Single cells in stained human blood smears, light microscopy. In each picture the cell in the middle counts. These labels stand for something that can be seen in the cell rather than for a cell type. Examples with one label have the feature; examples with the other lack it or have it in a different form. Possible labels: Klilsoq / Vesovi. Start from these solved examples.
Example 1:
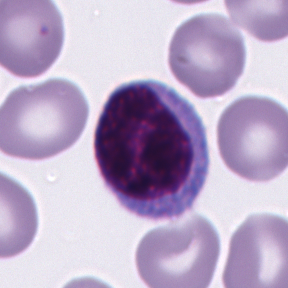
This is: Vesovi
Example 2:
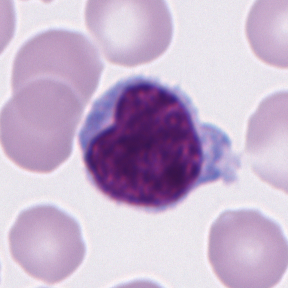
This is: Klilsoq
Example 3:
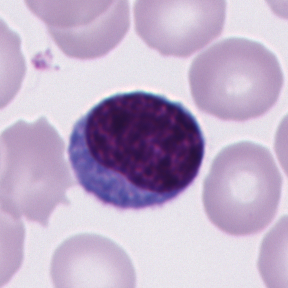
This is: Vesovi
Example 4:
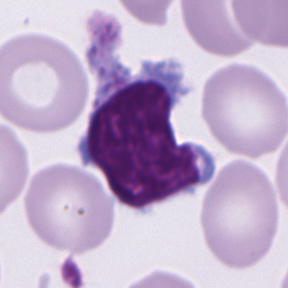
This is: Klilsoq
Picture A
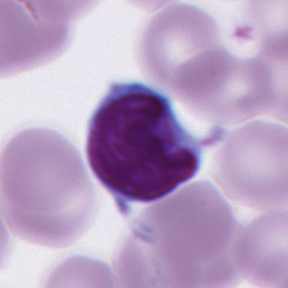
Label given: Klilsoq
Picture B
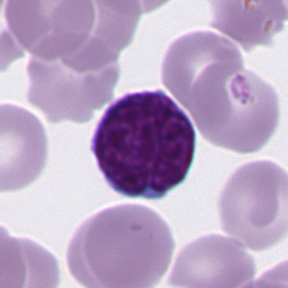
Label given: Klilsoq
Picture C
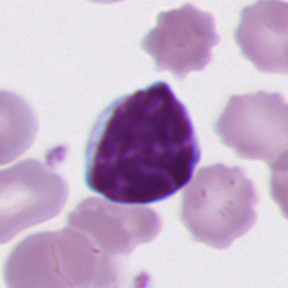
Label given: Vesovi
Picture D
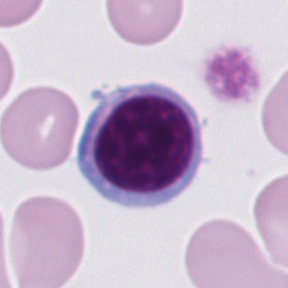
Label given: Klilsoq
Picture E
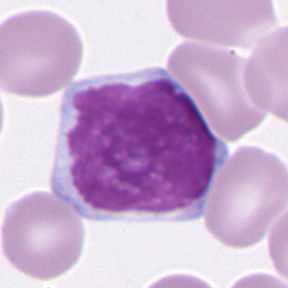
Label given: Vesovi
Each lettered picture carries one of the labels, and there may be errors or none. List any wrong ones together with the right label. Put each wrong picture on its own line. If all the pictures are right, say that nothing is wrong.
B is labelled Klilsoq; correct label: Vesovi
